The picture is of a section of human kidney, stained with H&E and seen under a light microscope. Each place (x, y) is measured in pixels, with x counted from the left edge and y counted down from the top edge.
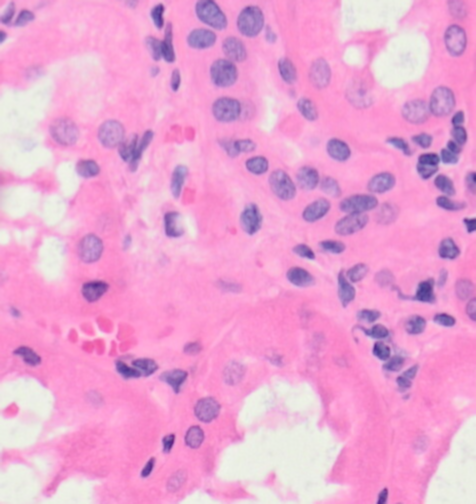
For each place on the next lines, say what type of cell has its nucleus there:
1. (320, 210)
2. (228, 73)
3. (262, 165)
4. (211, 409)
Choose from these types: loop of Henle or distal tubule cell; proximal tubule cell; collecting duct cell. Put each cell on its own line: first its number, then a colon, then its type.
1: collecting duct cell
2: collecting duct cell
3: collecting duct cell
4: proximal tubule cell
